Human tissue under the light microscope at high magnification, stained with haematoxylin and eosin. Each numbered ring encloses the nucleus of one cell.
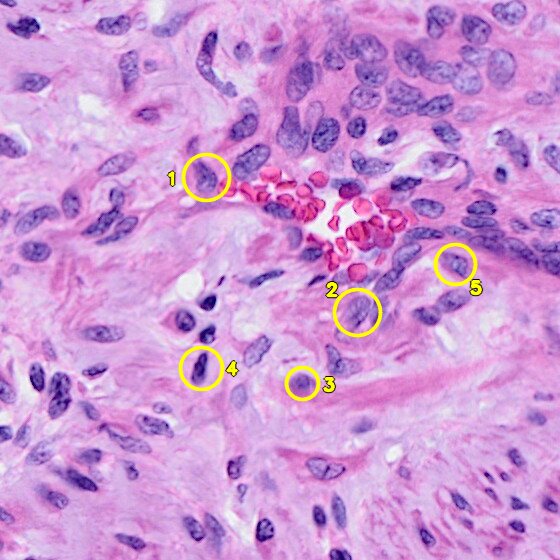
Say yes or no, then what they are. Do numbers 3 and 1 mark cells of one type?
No, a smooth muscle cell is what cell 3 is, and an endothelial cell is what cell 1 is.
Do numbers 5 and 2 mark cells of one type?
No, by type, cell 5 is a smooth muscle cell and cell 2 is an endothelial cell.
